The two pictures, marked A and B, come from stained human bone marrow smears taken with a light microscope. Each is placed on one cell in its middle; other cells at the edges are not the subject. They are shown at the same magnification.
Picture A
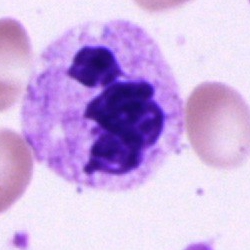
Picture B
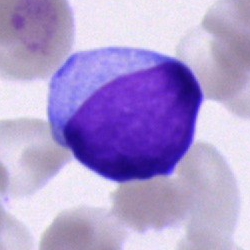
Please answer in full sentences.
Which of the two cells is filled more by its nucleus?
It is the cell in picture B that is filled more by its nucleus.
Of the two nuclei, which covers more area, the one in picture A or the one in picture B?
It is the nucleus in picture B, about 1.5 times as large in area as the one in picture A.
